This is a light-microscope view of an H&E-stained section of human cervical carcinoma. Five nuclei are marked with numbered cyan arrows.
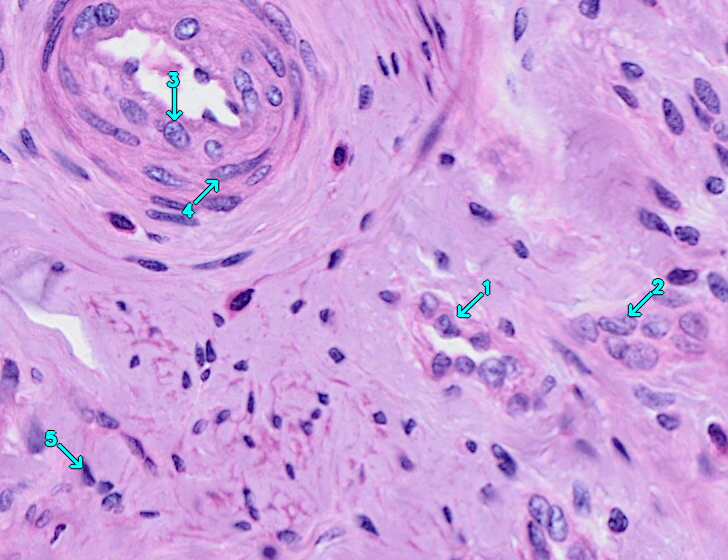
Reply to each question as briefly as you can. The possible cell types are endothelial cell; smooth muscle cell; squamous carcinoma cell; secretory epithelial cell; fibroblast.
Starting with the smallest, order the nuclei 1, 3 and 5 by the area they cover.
5, 1, 3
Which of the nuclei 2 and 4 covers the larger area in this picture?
2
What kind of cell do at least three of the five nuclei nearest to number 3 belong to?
smooth muscle cell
